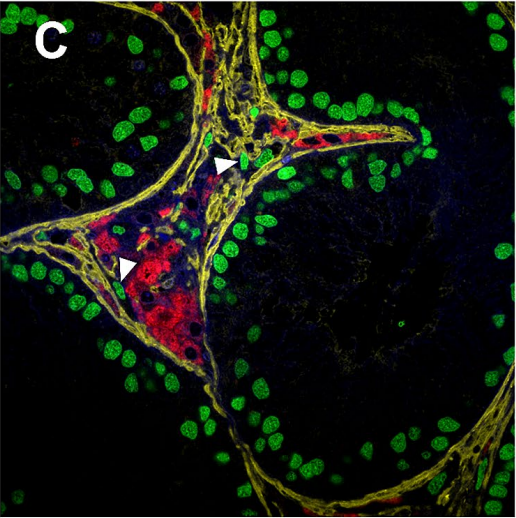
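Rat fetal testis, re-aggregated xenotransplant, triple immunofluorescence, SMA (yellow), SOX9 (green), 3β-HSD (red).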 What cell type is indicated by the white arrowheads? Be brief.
Ectopic Sertoli cells.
